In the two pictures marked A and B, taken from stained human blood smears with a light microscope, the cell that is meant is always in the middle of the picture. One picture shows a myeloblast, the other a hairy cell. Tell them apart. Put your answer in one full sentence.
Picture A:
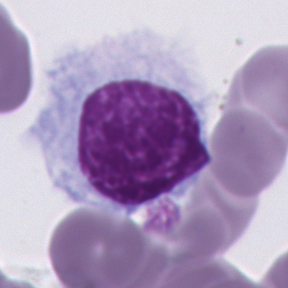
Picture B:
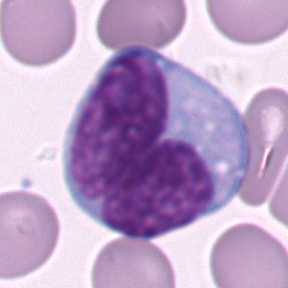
In picture A the cell is a hairy cell; in picture B, a myeloblast.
